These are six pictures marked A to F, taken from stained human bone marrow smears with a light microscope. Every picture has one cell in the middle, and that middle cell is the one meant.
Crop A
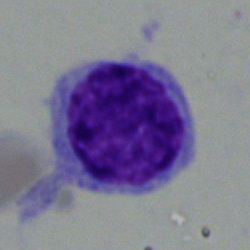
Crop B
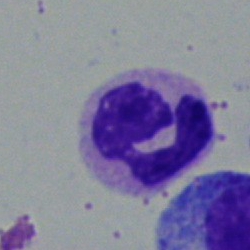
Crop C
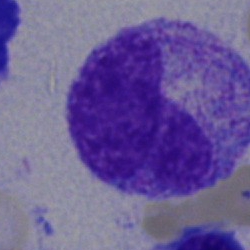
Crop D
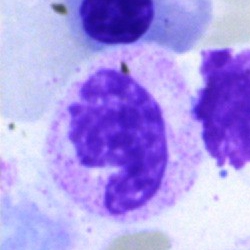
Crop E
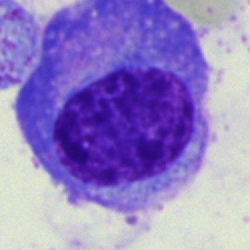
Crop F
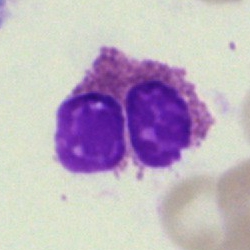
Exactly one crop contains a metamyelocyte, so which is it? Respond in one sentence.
Among the crops provided, a metamyelocyte occupies the center of crop C.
